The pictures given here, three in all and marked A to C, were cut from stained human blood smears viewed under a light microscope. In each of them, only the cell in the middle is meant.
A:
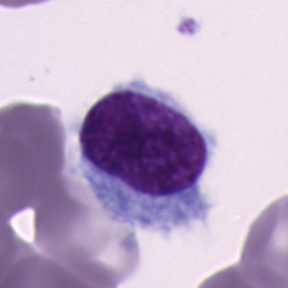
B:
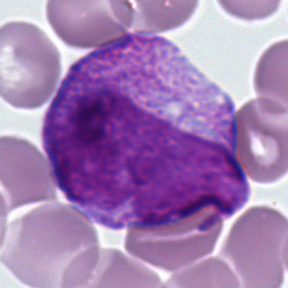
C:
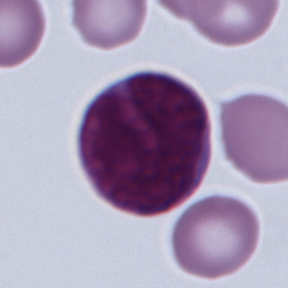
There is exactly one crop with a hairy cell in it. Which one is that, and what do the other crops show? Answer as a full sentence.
Crop A shows a hairy cell in its middle, while crop B is an atypical promyelocyte and crop C is a myeloblast.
